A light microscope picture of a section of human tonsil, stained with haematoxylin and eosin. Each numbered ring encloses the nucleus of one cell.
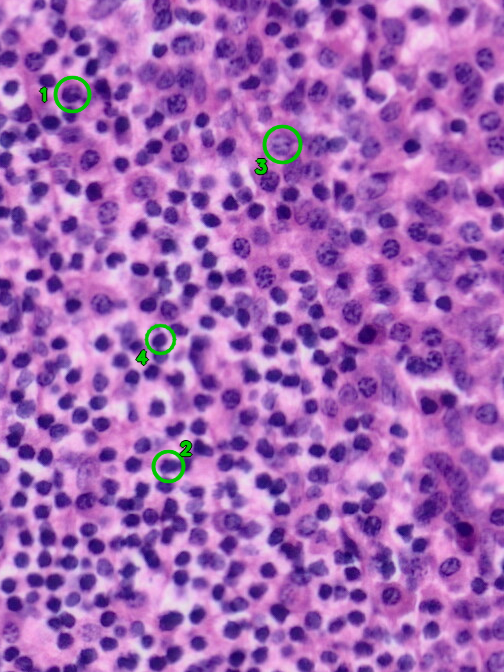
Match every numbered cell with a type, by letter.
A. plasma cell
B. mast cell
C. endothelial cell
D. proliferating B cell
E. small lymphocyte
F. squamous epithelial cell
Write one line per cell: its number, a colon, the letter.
1: A
2: E
3: A
4: E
